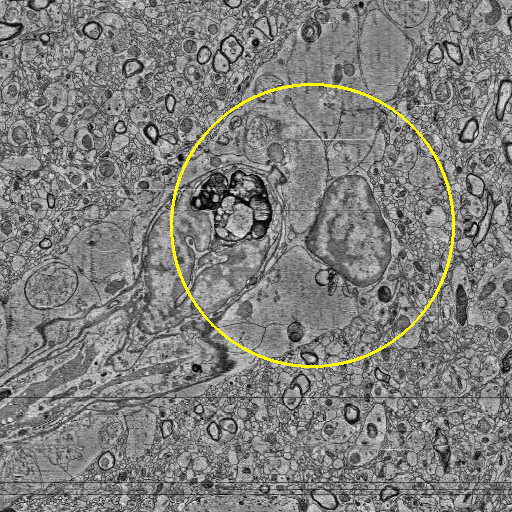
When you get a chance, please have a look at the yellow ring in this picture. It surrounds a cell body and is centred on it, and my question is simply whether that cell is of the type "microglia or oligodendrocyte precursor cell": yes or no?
Yes, the cell is of that type.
